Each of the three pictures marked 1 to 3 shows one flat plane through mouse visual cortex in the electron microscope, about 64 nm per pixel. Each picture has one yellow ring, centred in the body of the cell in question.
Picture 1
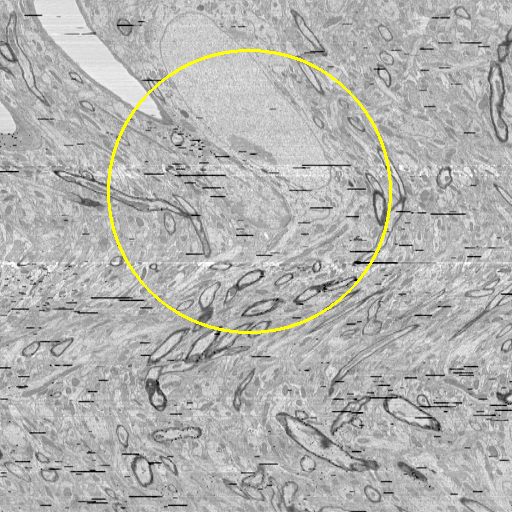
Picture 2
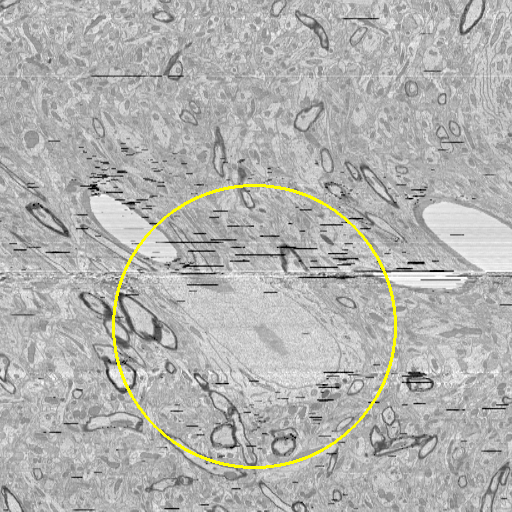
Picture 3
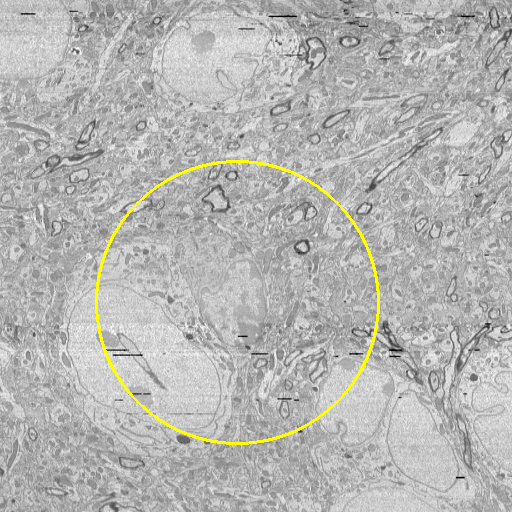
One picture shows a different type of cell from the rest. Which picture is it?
Picture 2 is the odd one out: it shows an excitatory neuron, while the others show oligodendrocytes.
